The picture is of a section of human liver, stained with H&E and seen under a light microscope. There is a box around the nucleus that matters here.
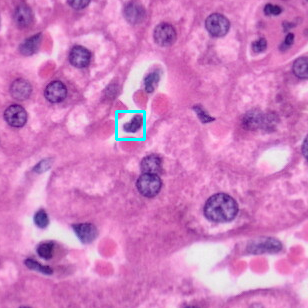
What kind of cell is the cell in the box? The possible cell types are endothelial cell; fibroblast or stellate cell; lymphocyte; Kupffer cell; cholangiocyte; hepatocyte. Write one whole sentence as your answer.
The cell in the box is a lymphocyte.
